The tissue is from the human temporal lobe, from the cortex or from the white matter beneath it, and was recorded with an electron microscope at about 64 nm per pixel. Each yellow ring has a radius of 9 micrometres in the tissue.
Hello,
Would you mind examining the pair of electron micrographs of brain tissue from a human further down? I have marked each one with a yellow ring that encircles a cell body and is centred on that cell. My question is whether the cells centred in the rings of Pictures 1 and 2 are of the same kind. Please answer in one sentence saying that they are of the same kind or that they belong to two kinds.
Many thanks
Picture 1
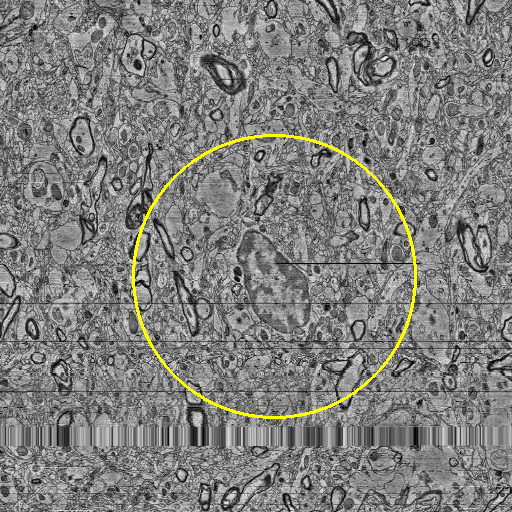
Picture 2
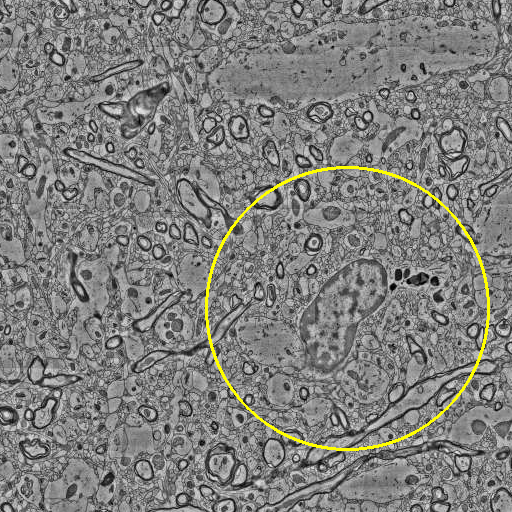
In Pictures 1 and 2, the cells at the heart of the rings are of the same kind.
